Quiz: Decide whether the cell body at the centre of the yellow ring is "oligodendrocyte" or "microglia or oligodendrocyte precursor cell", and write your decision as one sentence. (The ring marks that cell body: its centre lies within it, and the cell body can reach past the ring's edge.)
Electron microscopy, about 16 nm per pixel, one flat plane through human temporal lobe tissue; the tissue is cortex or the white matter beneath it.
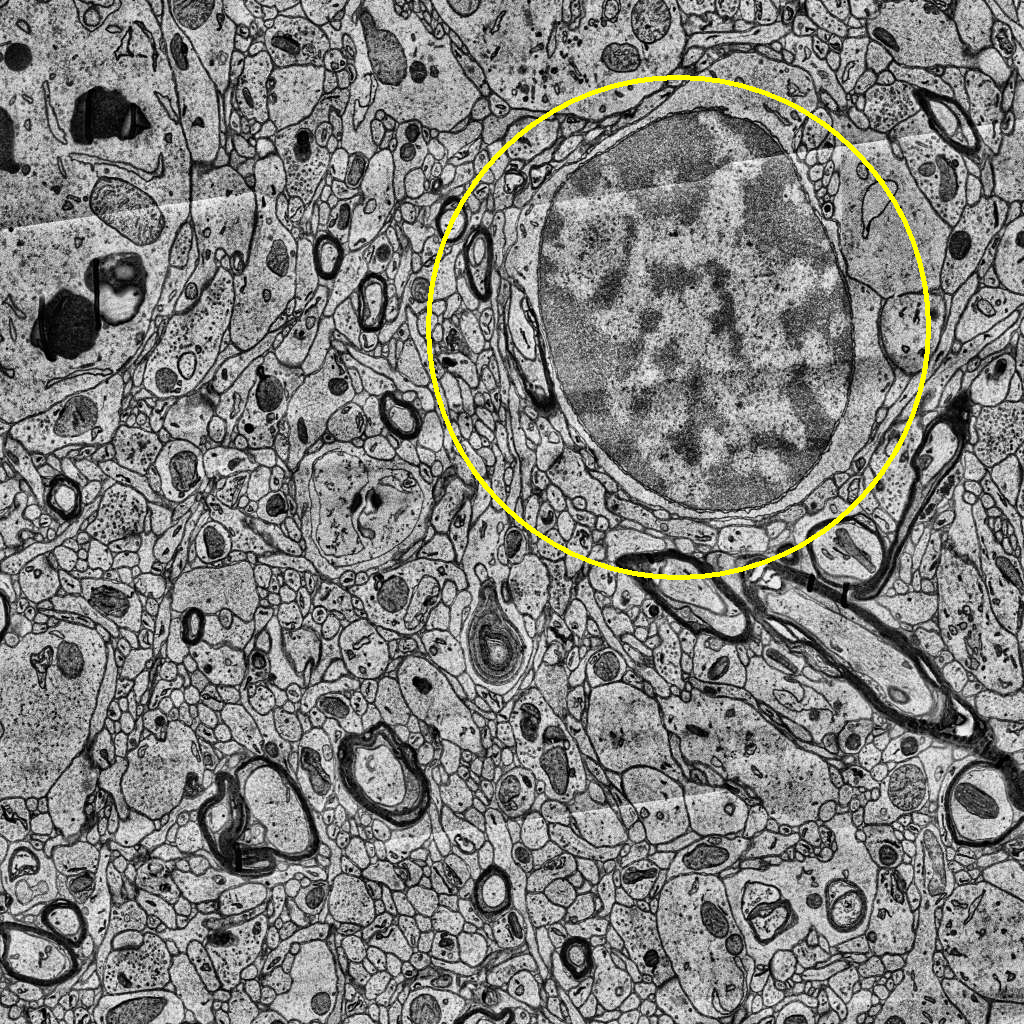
The cell holding the ring's centre is a microglial cell or oligodendrocyte precursor cell.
